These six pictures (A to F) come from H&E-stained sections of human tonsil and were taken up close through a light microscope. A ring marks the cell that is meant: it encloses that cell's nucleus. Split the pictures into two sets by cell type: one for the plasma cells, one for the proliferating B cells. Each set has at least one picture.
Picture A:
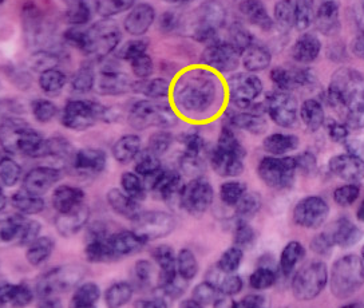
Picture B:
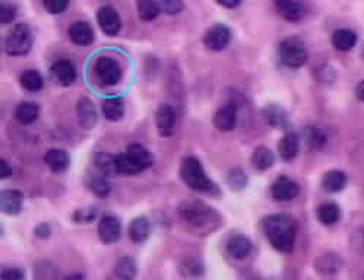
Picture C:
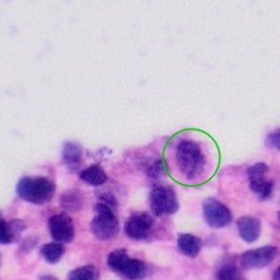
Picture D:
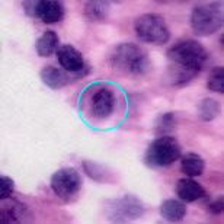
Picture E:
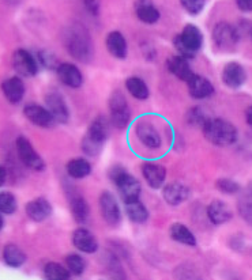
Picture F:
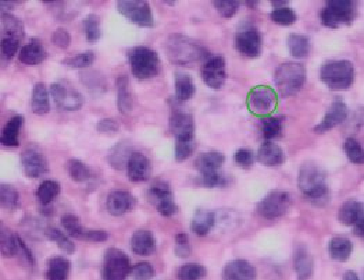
A: proliferating B cell
B: plasma cell
C: proliferating B cell
D: plasma cell
E: plasma cell
F: proliferating B cell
